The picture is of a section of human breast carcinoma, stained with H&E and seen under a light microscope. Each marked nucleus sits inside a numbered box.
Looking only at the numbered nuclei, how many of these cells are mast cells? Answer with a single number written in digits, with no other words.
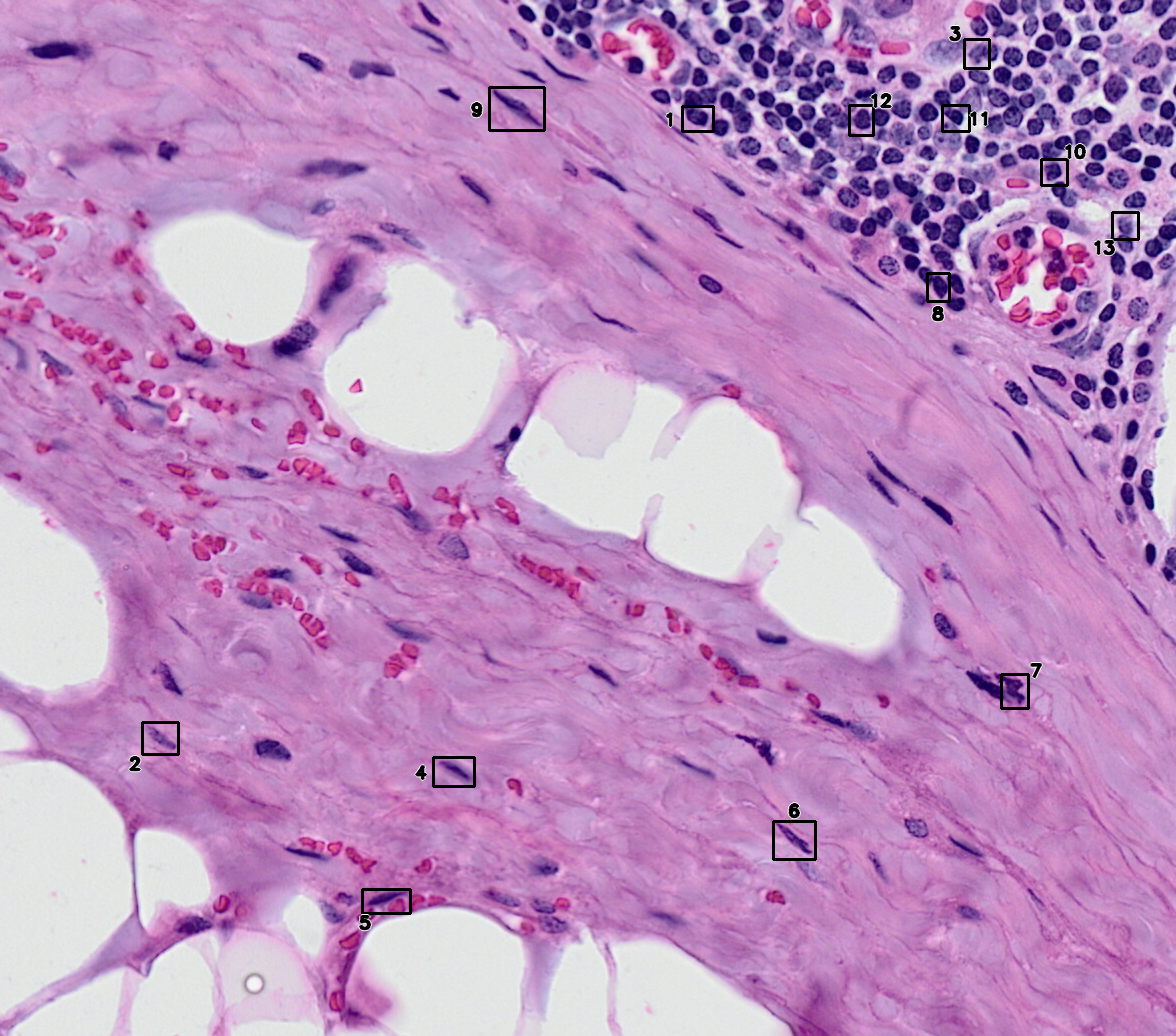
0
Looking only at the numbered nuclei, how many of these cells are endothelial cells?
1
